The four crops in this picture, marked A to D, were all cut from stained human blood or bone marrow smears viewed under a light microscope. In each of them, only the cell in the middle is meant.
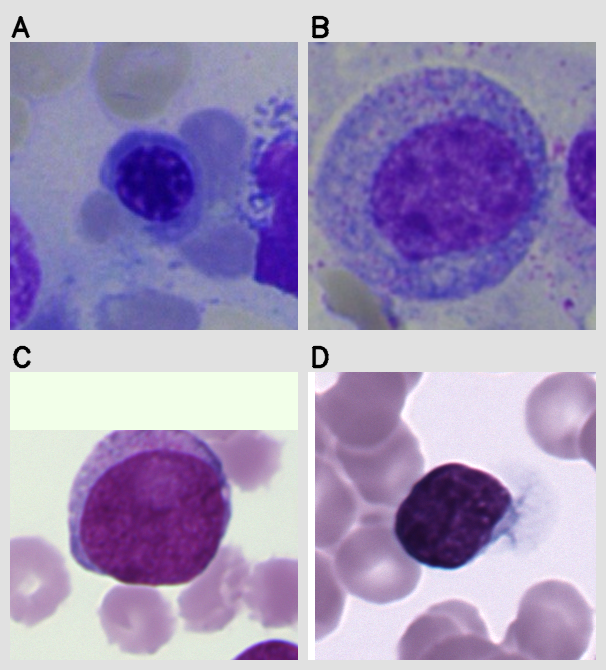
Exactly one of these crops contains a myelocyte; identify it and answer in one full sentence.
The cell identified as a myelocyte is the one in crop C.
